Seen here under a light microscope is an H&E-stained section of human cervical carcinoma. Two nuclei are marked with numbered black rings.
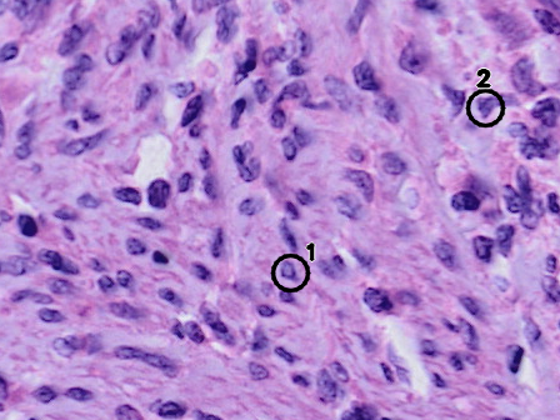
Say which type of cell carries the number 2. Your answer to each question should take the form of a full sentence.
Cell 2, among those numbered, is a lymphocyte.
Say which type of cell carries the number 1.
As for number 1, that cell is a fibroblast.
